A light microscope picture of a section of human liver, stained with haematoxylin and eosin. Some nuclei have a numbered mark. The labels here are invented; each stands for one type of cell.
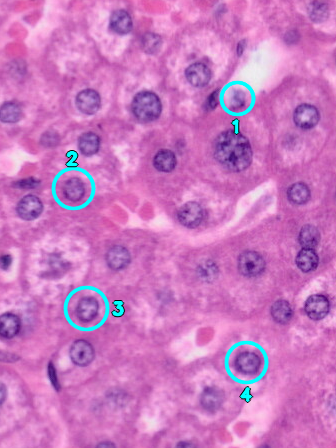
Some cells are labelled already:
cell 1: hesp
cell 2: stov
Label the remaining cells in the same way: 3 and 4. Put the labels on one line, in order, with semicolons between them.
stov; stov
